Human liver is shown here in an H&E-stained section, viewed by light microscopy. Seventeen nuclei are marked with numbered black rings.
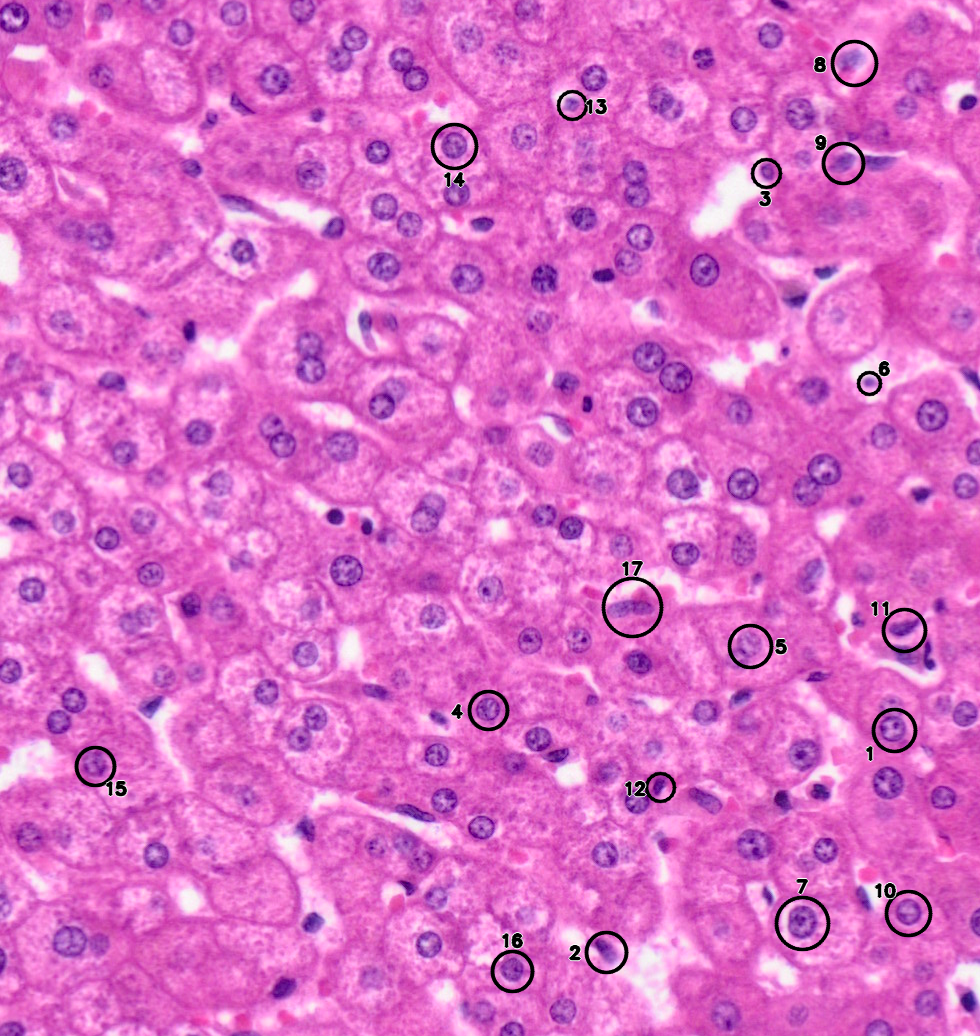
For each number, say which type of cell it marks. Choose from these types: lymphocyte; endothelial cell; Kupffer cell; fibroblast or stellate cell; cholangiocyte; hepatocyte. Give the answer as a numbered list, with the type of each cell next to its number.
1. hepatocyte
2. Kupffer cell
3. Kupffer cell
4. hepatocyte
5. hepatocyte
6. lymphocyte
7. hepatocyte
8. endothelial cell
9. endothelial cell
10. hepatocyte
11. fibroblast or stellate cell
12. fibroblast or stellate cell
13. lymphocyte
14. hepatocyte
15. hepatocyte
16. hepatocyte
17. Kupffer cell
